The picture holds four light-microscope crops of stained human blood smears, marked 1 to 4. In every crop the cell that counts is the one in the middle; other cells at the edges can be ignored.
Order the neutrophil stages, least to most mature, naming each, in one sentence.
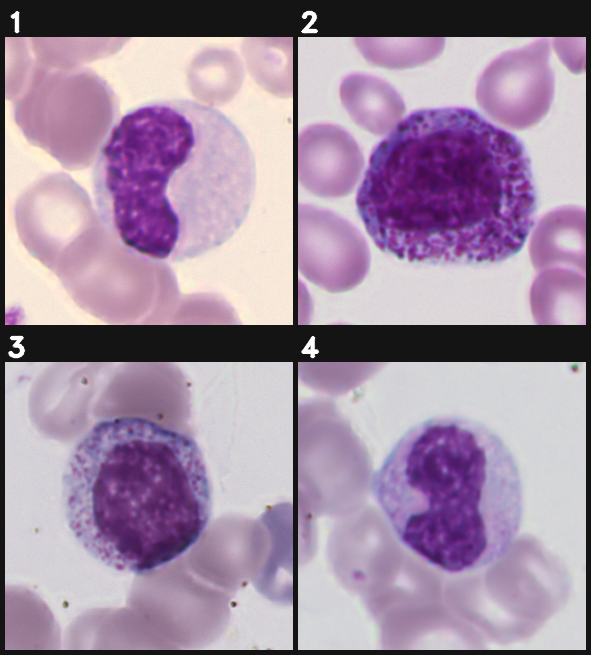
Ranked in ascending maturity, the crops are crop 2 (a promyelocyte), crop 3 (a myelocyte), crop 1 (a metamyelocyte) and crop 4 (a band neutrophil).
